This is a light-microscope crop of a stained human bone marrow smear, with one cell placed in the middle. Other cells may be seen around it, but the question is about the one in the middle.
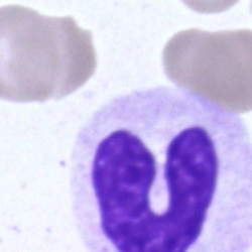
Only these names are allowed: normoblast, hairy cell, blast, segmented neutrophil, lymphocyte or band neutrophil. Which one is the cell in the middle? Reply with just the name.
band neutrophil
